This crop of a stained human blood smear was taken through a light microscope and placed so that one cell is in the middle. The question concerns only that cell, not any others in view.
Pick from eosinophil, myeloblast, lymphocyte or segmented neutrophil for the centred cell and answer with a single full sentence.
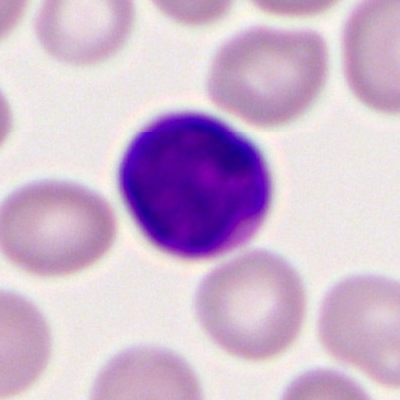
The cell at the centre of the field is a myeloblast.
